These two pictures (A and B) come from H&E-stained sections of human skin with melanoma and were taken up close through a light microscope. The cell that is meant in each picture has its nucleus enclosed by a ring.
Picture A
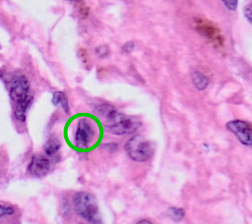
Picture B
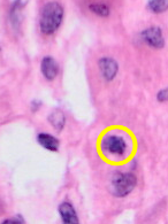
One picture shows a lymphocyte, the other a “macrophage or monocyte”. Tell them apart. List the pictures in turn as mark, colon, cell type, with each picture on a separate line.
A: macrophage or monocyte
B: lymphocyte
